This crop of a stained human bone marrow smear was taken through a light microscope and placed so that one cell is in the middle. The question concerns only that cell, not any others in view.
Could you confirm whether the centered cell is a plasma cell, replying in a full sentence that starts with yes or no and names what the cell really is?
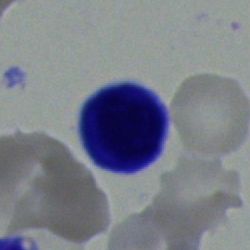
No, the cell of interest here is a lymphocyte and not a plasma cell.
